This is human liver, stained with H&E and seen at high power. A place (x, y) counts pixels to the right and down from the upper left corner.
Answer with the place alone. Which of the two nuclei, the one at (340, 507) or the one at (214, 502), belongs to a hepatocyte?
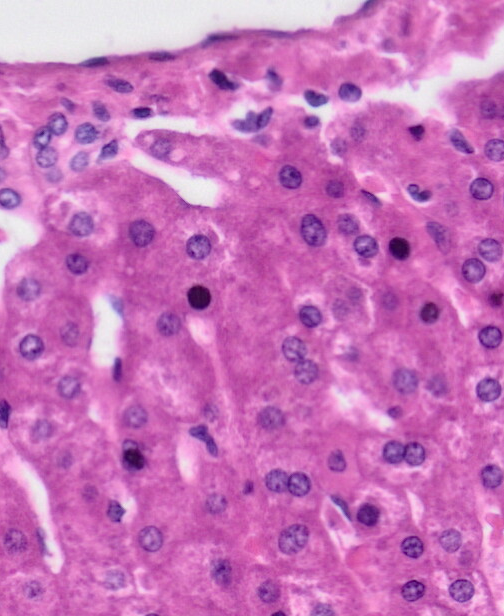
(214, 502)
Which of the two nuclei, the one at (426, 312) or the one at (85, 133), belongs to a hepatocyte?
(426, 312)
